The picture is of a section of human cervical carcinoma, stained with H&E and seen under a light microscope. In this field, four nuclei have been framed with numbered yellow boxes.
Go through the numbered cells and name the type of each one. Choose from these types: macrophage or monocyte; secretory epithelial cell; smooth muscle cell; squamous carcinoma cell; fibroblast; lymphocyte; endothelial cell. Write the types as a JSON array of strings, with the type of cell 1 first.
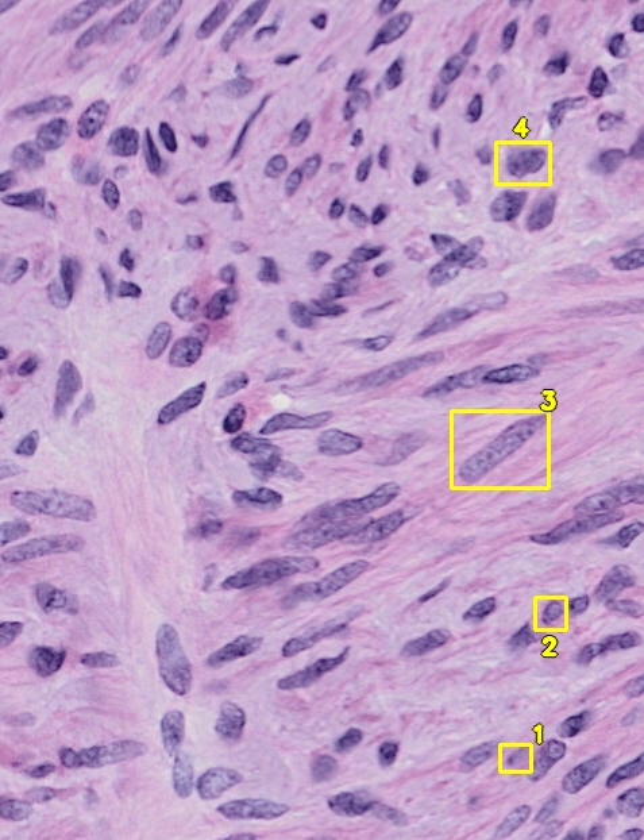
["smooth muscle cell", "smooth muscle cell", "smooth muscle cell", "fibroblast"]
